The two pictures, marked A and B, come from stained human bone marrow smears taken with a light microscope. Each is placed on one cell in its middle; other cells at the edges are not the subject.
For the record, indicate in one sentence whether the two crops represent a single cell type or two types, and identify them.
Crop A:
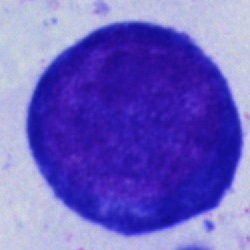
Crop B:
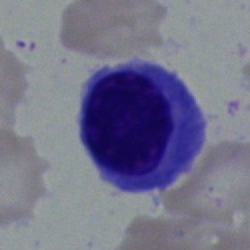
No, it is crop A that shows a proerythroblast, and crop B that shows a plasma cell.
